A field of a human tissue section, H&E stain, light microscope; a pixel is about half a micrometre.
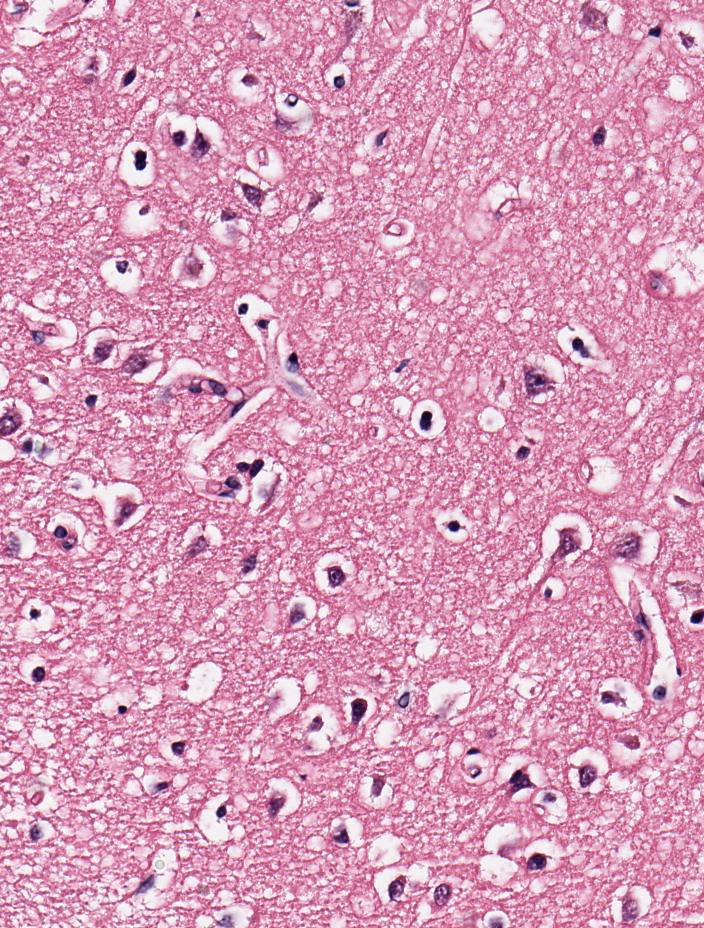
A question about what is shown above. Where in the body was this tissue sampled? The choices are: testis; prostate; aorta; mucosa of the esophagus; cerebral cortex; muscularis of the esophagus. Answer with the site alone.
cerebral cortex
